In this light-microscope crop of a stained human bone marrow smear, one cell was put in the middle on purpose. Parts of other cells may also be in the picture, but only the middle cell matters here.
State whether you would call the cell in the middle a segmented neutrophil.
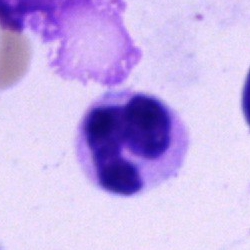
yes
